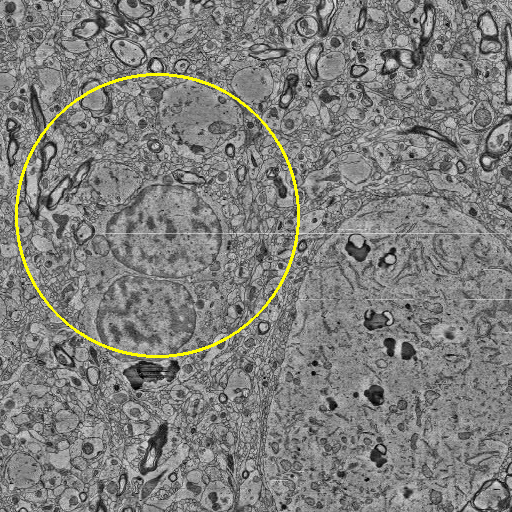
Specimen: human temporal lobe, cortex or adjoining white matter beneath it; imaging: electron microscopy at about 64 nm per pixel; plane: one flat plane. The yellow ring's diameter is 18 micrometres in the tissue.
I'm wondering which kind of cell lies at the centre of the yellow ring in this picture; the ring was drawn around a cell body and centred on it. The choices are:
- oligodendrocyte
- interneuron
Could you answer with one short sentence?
At the centre of the ring lies an oligodendrocyte.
